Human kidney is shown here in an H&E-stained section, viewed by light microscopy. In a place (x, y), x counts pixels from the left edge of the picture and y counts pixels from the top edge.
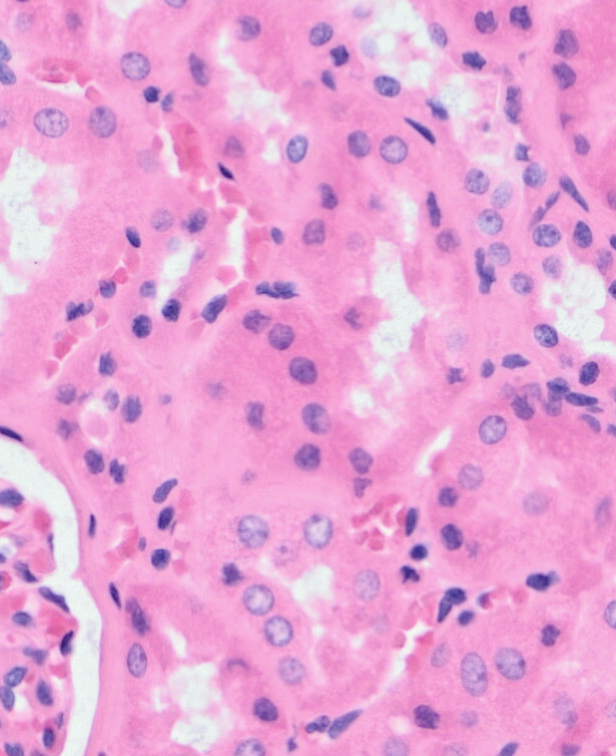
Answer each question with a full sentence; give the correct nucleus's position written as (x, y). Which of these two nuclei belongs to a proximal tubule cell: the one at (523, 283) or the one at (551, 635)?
The nucleus at (551, 635), rather than the other, belongs to a proximal tubule cell.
